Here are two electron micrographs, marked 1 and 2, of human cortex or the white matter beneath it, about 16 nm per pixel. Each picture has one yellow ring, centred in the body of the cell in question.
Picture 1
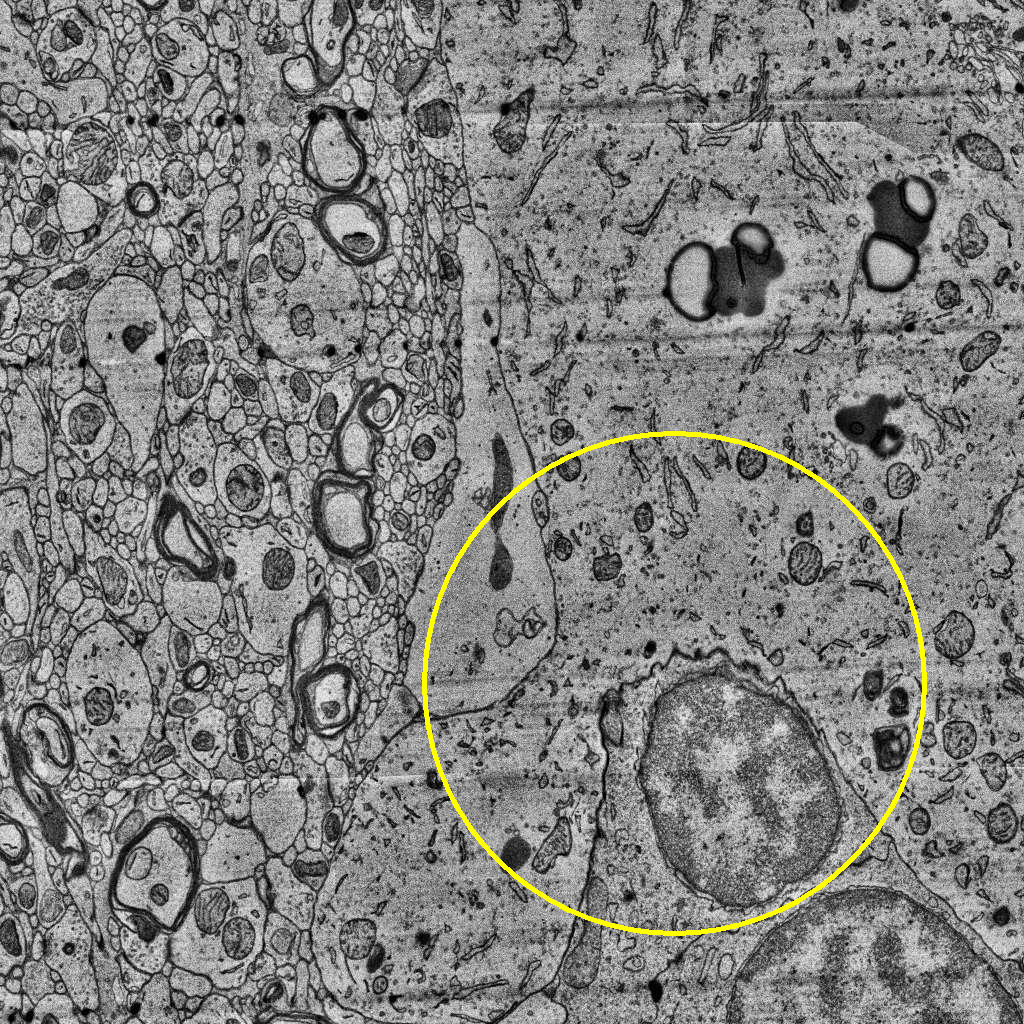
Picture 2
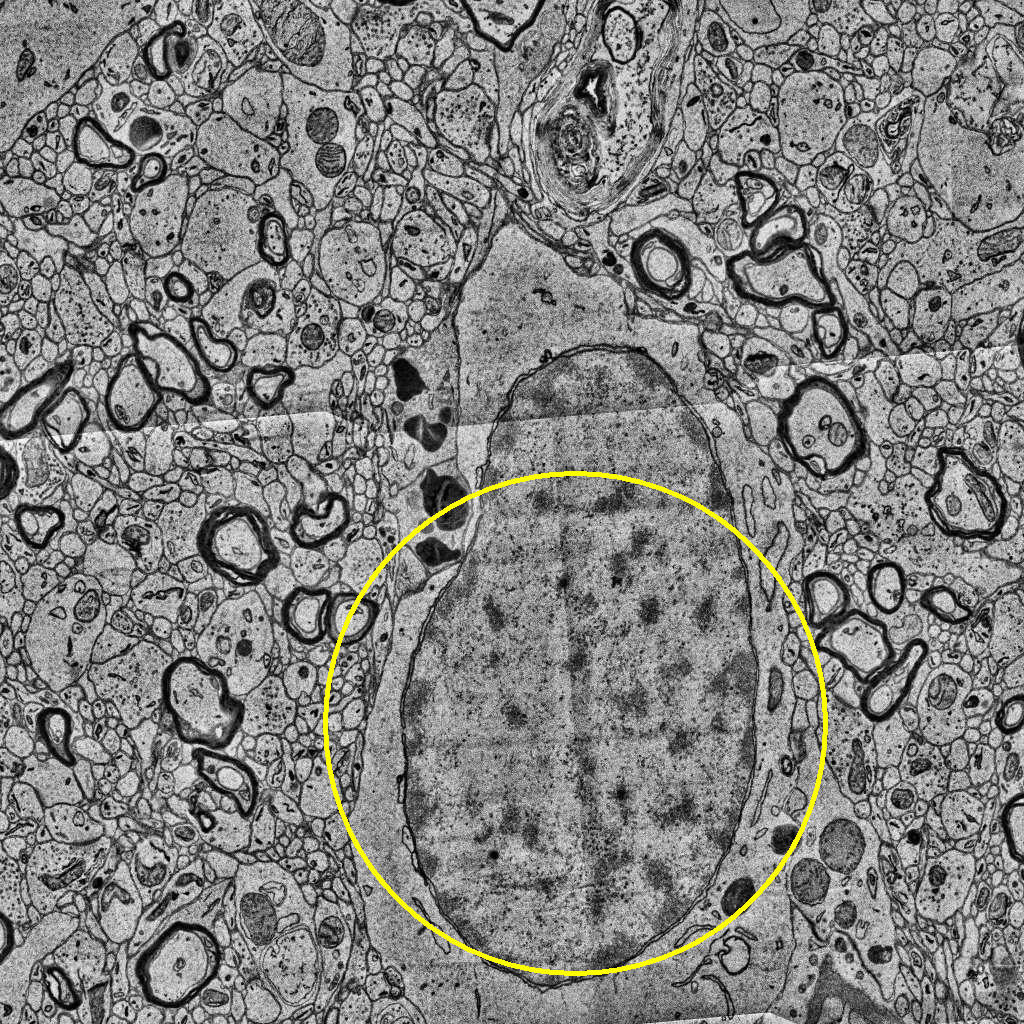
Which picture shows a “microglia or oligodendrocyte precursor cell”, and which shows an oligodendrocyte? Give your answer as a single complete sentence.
Picture 1 is of an oligodendrocyte, and picture 2 is of a “microglia or oligodendrocyte precursor cell”.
